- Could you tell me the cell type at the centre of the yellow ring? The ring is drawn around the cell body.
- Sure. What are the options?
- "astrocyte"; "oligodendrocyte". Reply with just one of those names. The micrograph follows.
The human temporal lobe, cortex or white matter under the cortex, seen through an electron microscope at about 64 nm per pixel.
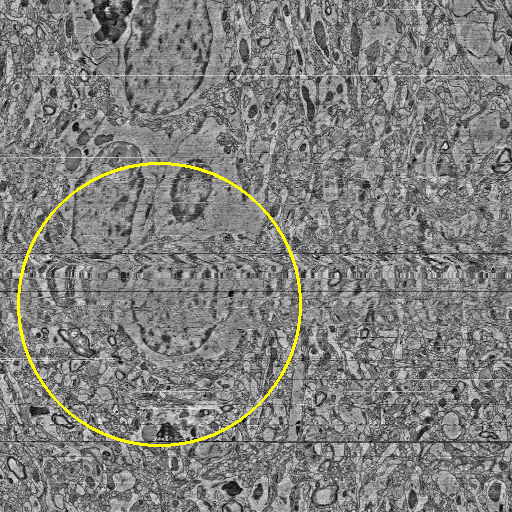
astrocyte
